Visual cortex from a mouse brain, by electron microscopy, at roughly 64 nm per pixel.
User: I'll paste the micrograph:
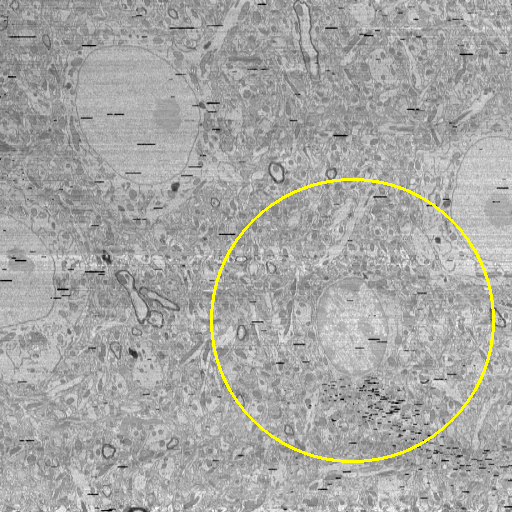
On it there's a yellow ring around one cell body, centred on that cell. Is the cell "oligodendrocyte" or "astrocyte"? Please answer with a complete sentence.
The cell ringed in yellow is an oligodendrocyte.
